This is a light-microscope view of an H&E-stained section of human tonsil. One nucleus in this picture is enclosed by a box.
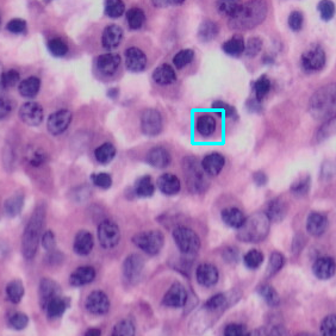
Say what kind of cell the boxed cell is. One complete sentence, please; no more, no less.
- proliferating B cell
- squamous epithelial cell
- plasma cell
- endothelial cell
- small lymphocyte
In the stained section, the boxed cell is a plasma cell.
